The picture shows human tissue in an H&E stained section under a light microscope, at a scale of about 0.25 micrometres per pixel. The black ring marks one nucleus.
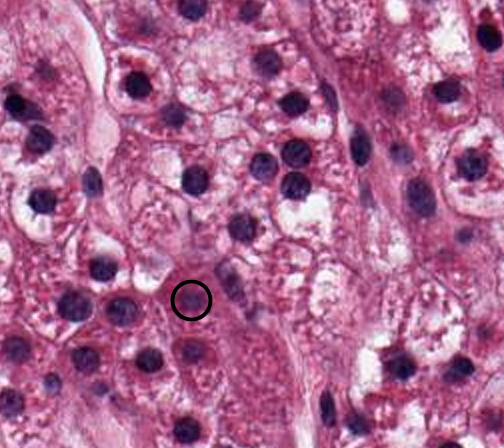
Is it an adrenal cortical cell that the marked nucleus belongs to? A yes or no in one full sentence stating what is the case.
Yes, the cell that houses the marked nucleus is an adrenal cortical cell.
